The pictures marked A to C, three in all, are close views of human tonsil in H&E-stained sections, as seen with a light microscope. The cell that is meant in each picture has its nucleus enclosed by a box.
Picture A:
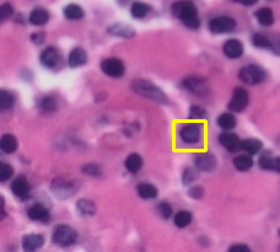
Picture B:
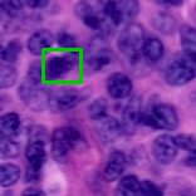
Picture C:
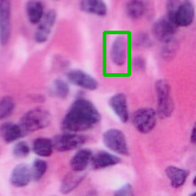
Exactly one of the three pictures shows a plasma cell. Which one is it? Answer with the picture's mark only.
A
